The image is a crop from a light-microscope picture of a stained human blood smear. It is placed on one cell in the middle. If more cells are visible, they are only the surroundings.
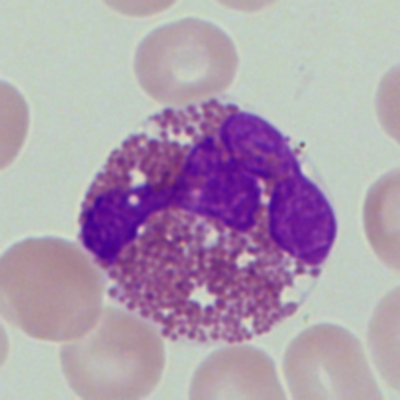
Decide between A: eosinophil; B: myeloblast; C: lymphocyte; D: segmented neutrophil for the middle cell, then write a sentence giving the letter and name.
It is an eosinophil that occupies the centre of the crop, so option A is correct.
